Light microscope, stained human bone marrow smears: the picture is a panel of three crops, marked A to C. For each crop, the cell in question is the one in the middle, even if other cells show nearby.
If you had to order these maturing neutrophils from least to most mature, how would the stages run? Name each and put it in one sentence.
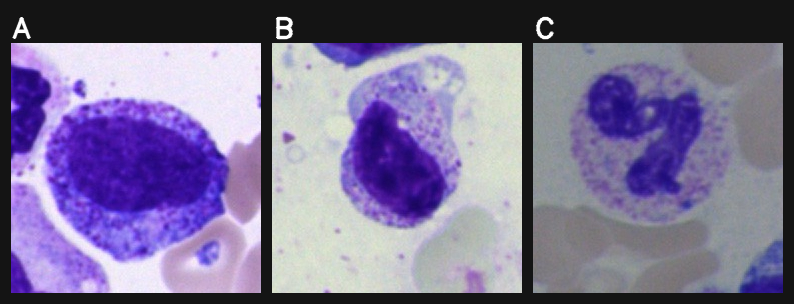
Proceeding from least to most mature, the order is crop A (a promyelocyte), crop B (a metamyelocyte) and crop C (a segmented neutrophil).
